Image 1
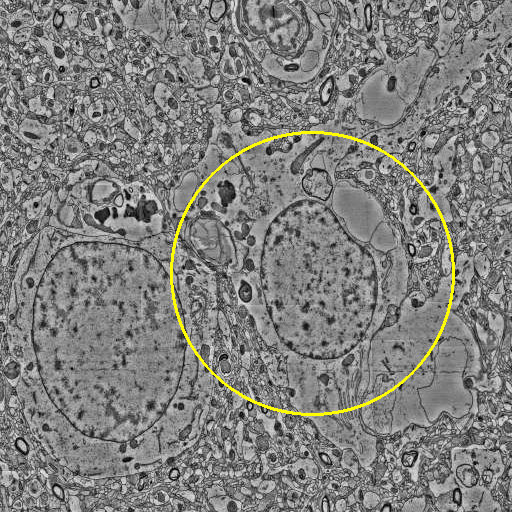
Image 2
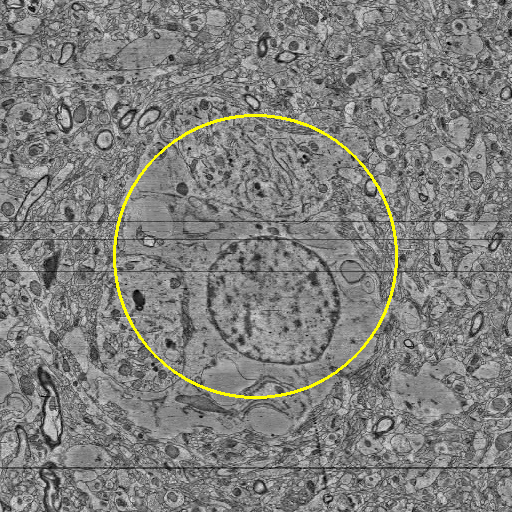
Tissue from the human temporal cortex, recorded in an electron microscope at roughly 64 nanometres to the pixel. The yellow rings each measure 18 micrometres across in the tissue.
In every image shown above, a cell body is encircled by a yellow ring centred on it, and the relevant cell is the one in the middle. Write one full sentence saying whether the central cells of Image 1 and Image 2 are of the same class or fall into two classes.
The cell at the ring's centre in Image 1 and its counterpart in Image 2 are of the same class.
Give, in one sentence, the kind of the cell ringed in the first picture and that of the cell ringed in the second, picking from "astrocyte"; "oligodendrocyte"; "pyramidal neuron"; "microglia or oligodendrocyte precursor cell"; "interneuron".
In each picture the ringed cell is an astrocyte.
